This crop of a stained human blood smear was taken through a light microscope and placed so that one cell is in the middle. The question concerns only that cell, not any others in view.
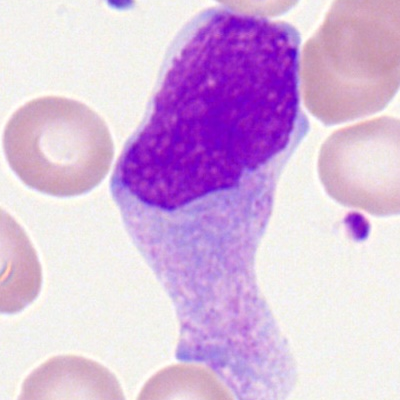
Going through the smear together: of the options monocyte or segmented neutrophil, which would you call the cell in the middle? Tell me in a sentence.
In the center of this field lies a monocyte.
